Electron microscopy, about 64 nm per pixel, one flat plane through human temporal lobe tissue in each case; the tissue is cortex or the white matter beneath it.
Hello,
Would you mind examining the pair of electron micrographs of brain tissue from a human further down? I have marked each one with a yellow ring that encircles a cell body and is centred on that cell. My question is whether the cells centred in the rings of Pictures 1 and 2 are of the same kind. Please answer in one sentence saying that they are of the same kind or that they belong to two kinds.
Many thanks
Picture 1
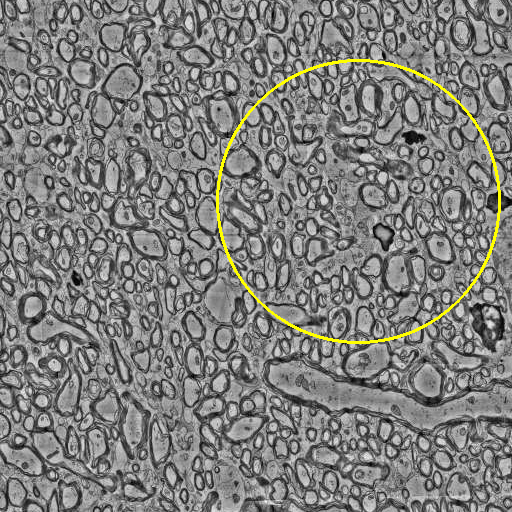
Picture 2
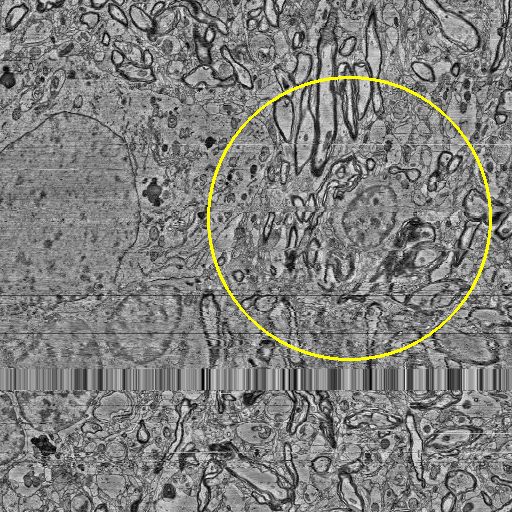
In Pictures 1 and 2, the cells at the heart of the rings are of the same kind.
